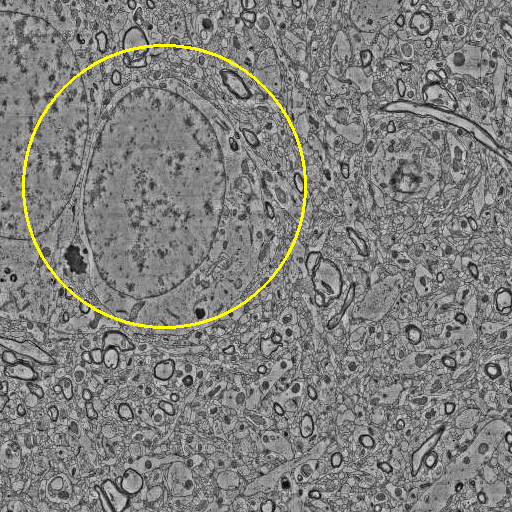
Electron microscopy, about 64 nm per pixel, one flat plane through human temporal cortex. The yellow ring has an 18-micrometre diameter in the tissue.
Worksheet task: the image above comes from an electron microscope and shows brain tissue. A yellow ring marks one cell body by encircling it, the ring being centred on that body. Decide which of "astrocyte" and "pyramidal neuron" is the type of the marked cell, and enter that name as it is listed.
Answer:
pyramidal neuron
